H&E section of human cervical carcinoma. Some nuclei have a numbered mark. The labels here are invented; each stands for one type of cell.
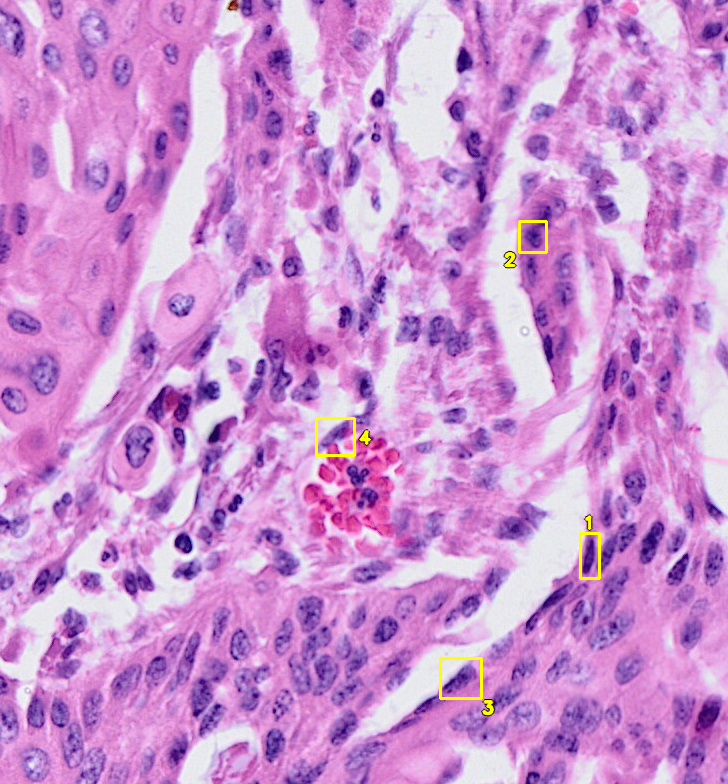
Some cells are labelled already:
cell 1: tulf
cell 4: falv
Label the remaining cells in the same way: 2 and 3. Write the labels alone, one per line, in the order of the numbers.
tulf
tulf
